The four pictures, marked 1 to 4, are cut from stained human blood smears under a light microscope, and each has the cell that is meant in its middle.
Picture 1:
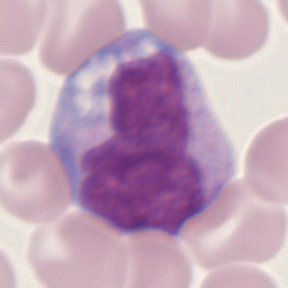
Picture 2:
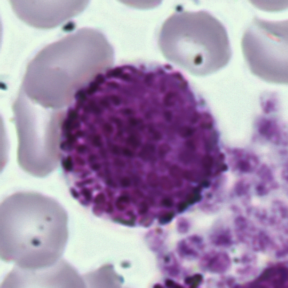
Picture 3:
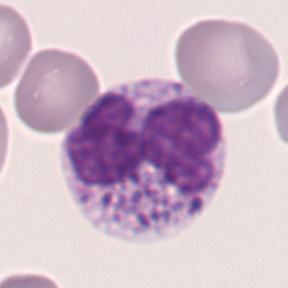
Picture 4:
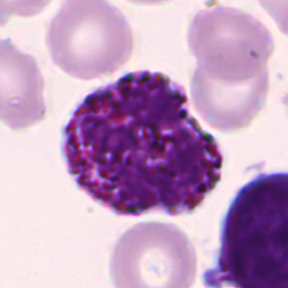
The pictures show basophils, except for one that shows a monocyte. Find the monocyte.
1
